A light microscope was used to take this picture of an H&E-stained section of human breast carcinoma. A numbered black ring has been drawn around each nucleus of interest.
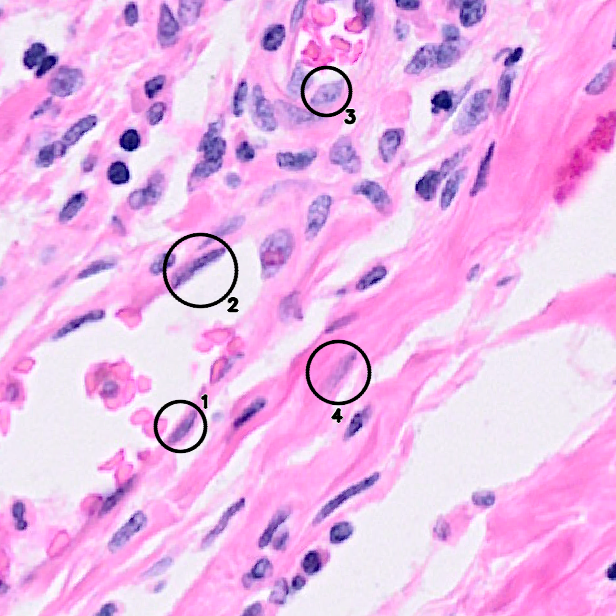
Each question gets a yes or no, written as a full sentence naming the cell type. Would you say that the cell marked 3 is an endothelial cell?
Yes, the cell that is numbered 3 is an endothelial cell.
